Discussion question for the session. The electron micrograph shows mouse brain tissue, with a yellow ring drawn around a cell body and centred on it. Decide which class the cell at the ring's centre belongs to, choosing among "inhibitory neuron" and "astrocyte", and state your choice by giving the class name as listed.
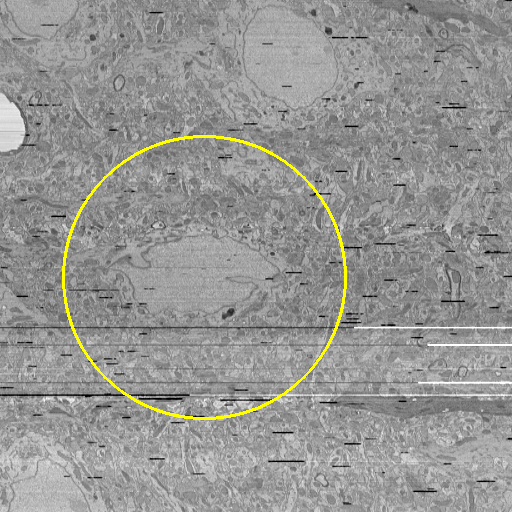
inhibitory neuron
